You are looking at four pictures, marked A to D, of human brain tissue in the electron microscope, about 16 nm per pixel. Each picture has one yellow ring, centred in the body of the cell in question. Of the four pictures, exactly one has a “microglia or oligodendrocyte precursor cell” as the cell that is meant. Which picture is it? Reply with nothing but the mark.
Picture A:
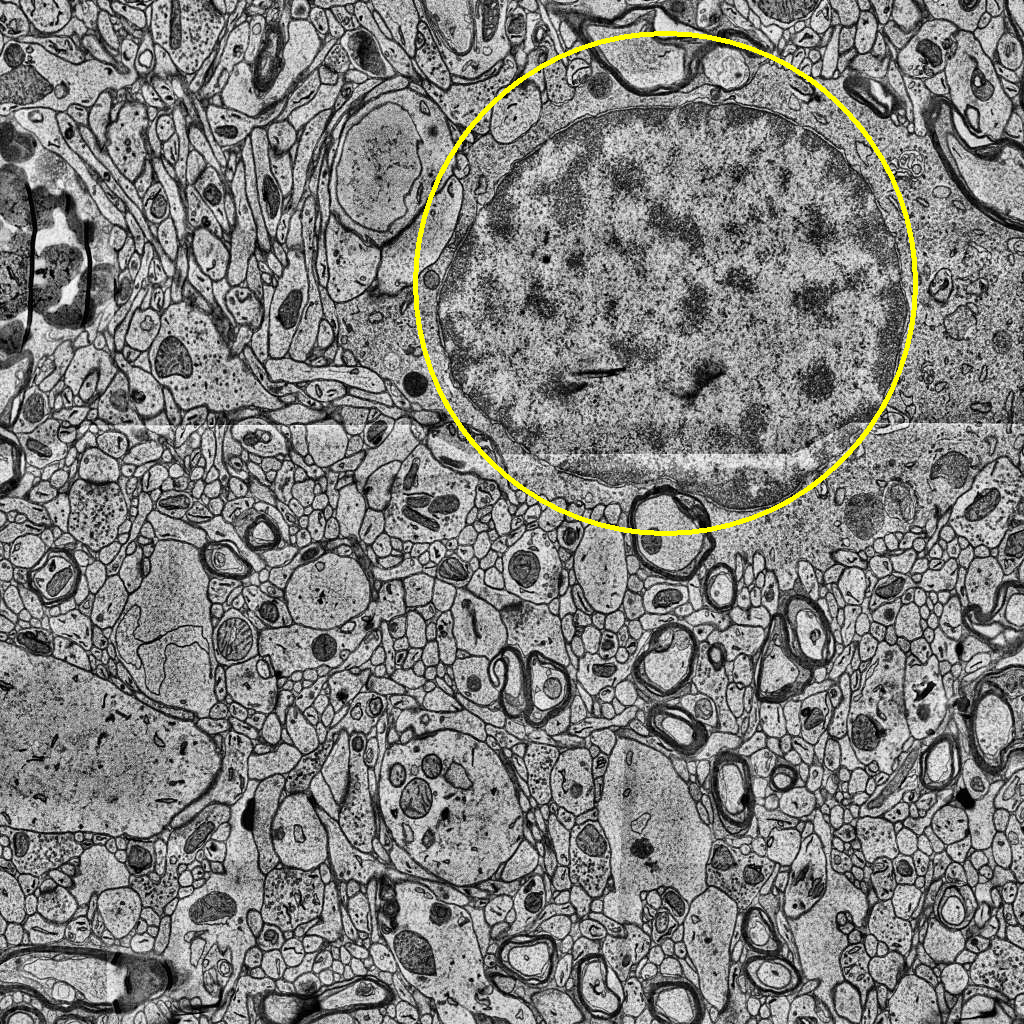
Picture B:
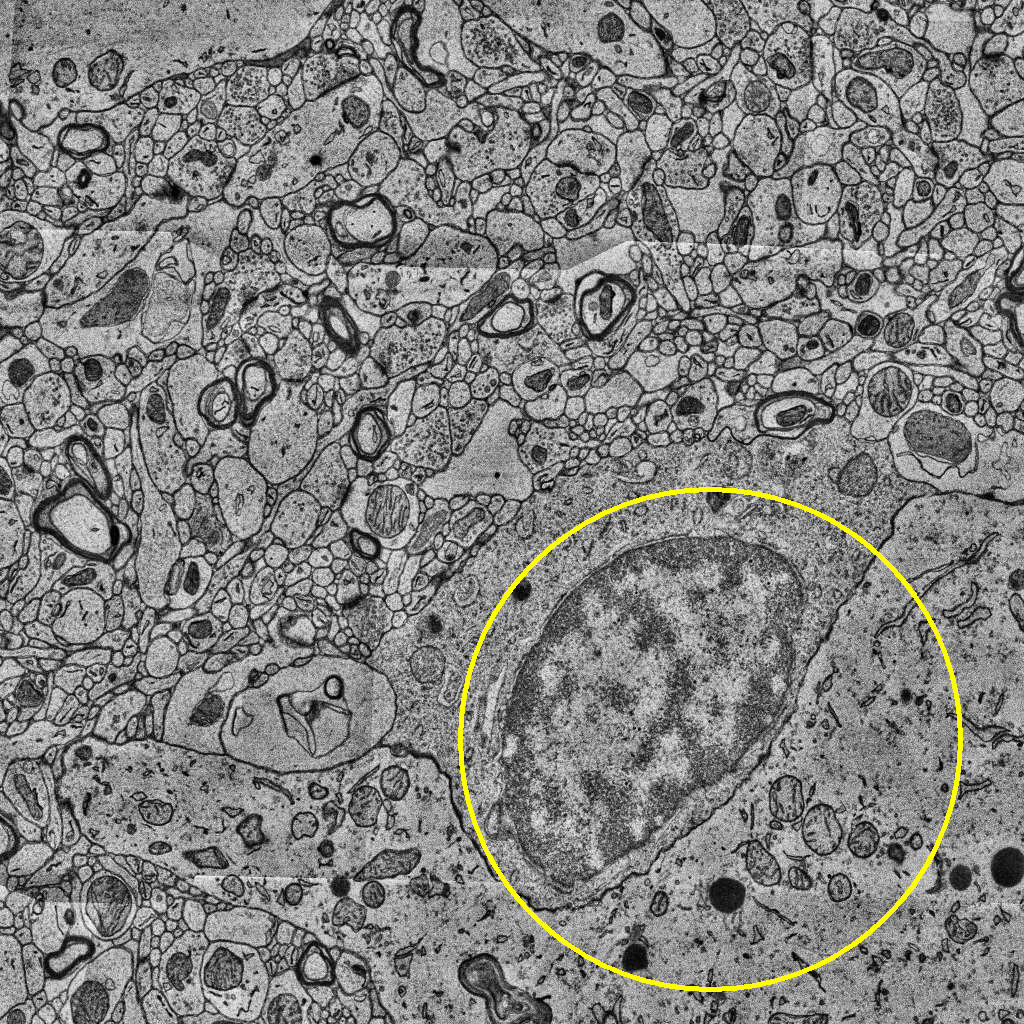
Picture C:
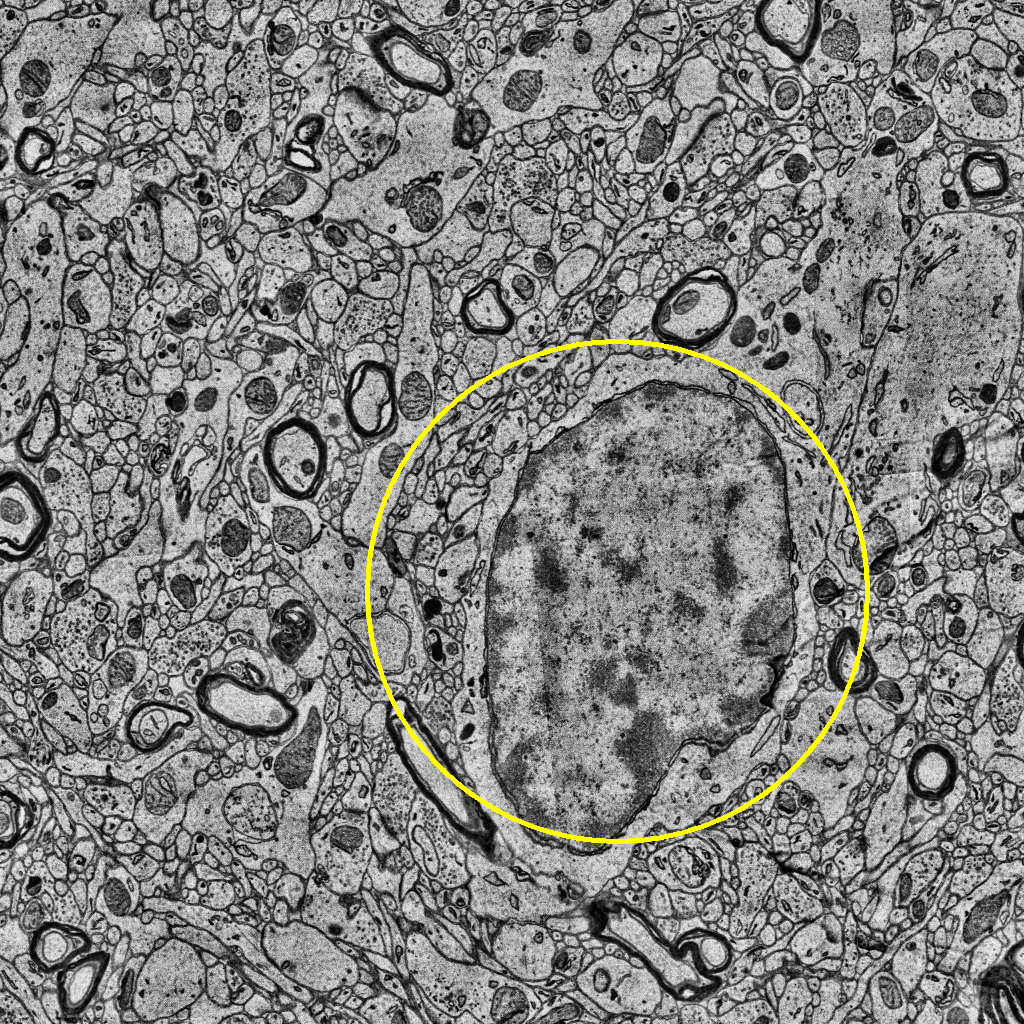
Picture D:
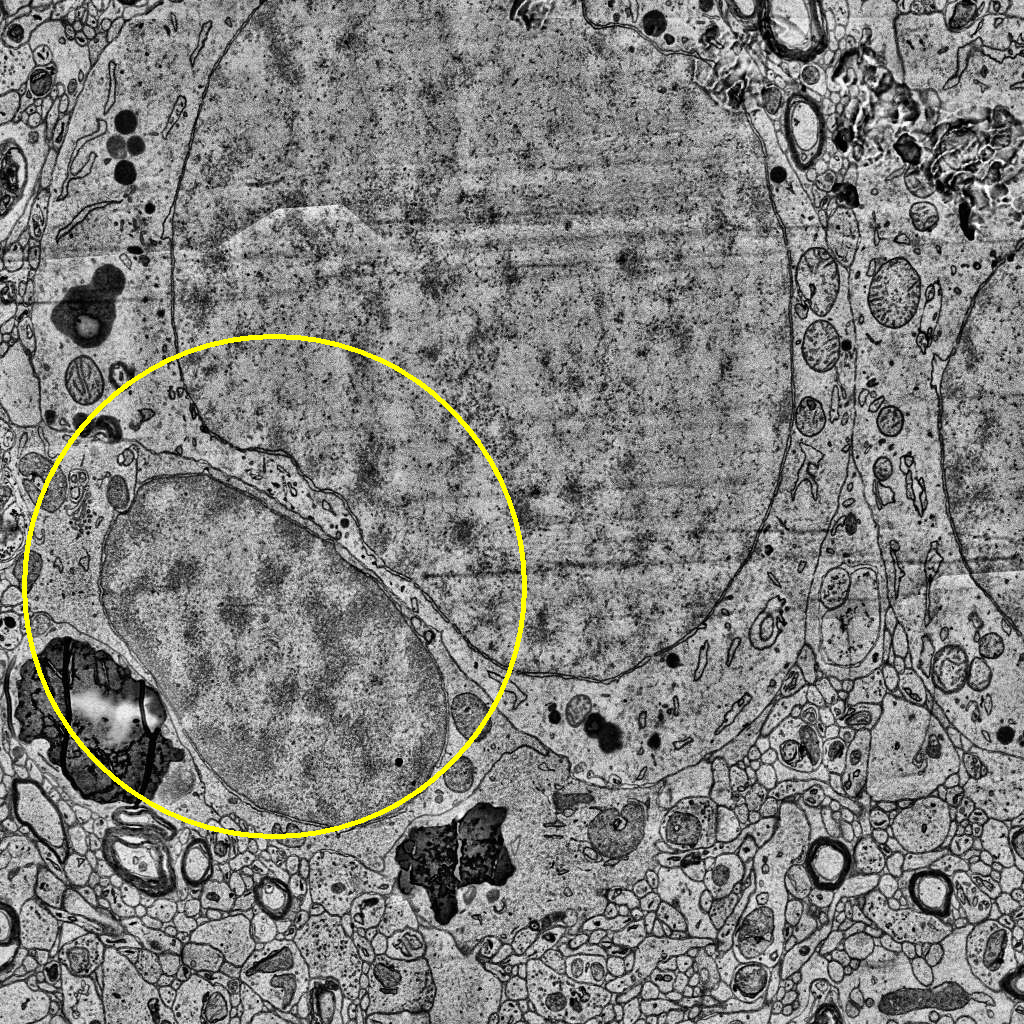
C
